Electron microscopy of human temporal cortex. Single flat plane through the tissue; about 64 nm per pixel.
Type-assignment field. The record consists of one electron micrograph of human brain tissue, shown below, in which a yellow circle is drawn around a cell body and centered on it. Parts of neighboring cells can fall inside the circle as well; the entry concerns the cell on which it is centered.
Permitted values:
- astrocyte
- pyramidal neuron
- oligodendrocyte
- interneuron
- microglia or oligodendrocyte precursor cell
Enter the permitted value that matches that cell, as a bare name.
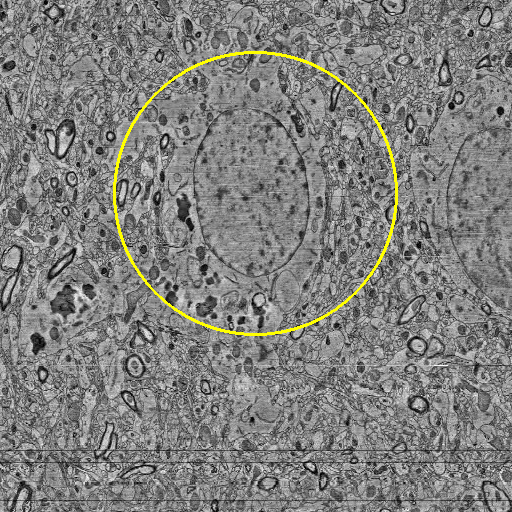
astrocyte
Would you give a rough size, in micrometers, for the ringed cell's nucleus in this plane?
About 11 by 7 micrometers in this plane, so the nucleus is clearly longer than it is wide.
